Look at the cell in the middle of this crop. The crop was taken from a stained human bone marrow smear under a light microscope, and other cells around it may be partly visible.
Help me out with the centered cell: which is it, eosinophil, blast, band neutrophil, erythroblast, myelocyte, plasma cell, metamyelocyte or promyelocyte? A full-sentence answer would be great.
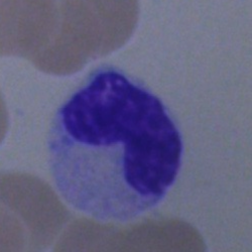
At the middle of the frame sits a metamyelocyte.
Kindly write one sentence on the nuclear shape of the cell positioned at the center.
The cell carries one compact nucleus shaped round, oval or like a kidney.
